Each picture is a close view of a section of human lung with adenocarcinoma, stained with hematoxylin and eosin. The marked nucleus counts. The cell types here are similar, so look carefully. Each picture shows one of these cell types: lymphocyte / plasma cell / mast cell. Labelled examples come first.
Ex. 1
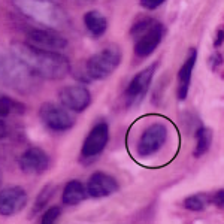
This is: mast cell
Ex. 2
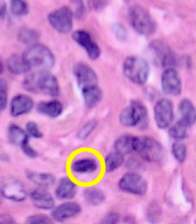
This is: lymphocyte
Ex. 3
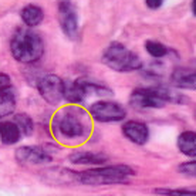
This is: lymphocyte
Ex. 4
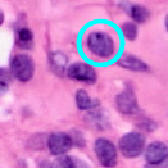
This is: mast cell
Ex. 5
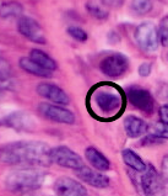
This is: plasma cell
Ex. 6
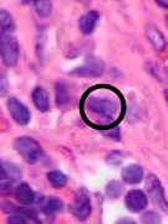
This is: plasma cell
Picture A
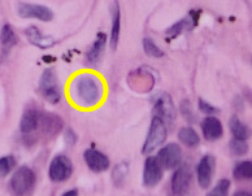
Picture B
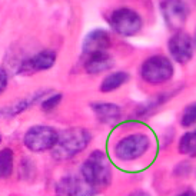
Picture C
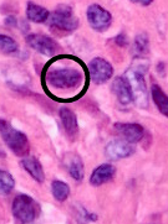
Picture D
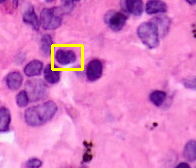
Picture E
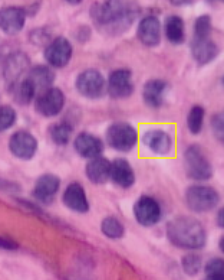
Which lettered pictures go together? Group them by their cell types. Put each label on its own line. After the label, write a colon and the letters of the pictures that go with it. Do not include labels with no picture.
lymphocyte: D, E
plasma cell: C
mast cell: A, B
